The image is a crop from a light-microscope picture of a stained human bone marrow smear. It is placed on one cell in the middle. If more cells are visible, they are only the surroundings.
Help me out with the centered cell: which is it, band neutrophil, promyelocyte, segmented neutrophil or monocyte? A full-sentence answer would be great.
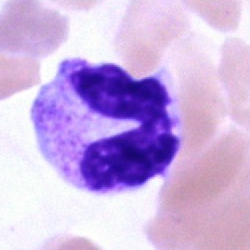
The cell of interest, in the center, is a segmented neutrophil.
